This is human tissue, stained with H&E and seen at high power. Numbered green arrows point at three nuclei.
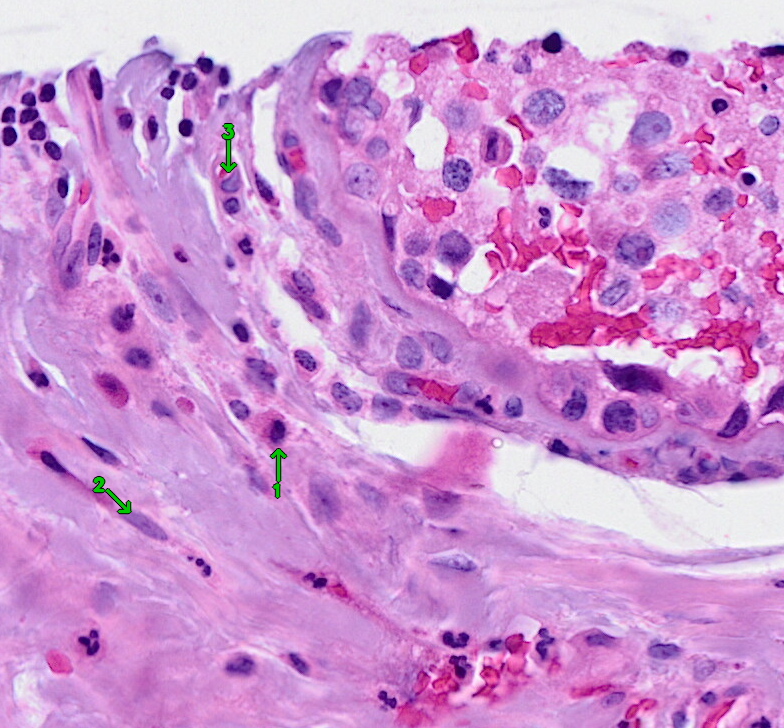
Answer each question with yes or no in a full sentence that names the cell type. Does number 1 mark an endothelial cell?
No, cell 1 is to be read as a mast cell, not an endothelial cell.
